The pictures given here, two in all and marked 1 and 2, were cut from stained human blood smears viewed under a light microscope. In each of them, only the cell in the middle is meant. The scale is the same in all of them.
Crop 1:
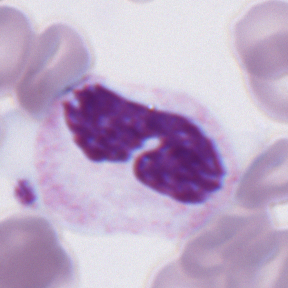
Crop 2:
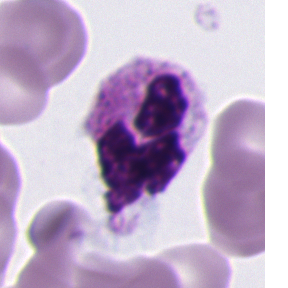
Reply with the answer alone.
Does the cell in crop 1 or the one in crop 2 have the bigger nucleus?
1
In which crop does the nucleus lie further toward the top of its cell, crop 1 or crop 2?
1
